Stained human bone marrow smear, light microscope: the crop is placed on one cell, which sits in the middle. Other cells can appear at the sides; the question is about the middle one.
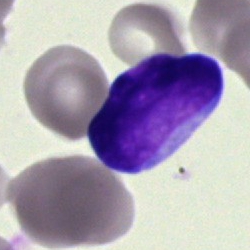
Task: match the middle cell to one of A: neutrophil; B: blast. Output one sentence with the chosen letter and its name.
Option B holds up: the cell in the middle is a blast.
